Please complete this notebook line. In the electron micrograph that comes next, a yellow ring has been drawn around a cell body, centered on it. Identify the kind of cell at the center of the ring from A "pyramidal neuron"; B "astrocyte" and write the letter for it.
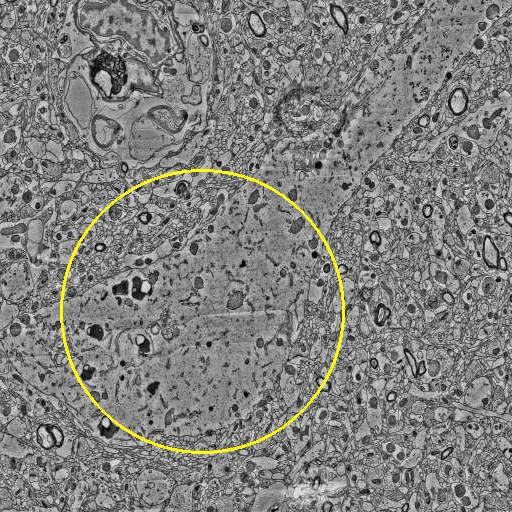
A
